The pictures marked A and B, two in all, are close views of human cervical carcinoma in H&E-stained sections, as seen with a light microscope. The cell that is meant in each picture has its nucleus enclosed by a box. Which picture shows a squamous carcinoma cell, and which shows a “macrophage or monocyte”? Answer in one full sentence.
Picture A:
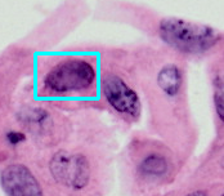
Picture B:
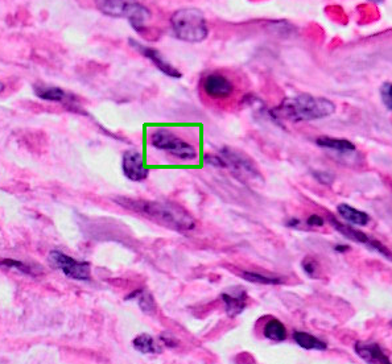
It is picture A that shows a squamous carcinoma cell, and picture B that shows a “macrophage or monocyte”.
